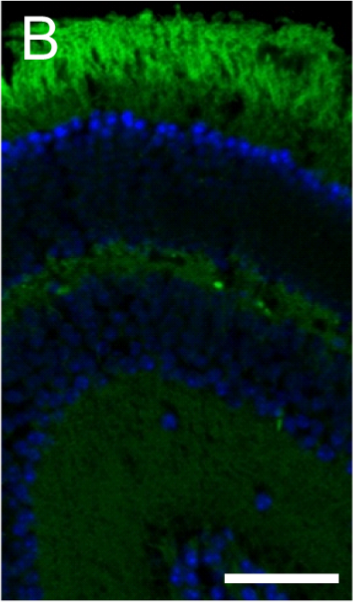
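This section of retina shows its layered architecture, with nuclei in blue and a green label. At the outer edge, a thick band of radially striated, intensely green material marks the photoreceptor outer segments. Beneath it a row of blue nuclei is followed by a darker band with little label. Deeper, a thin band of faint green with a few bright dots runs parallel to the surface, followed by a layer of closely packed blue nuclei.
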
